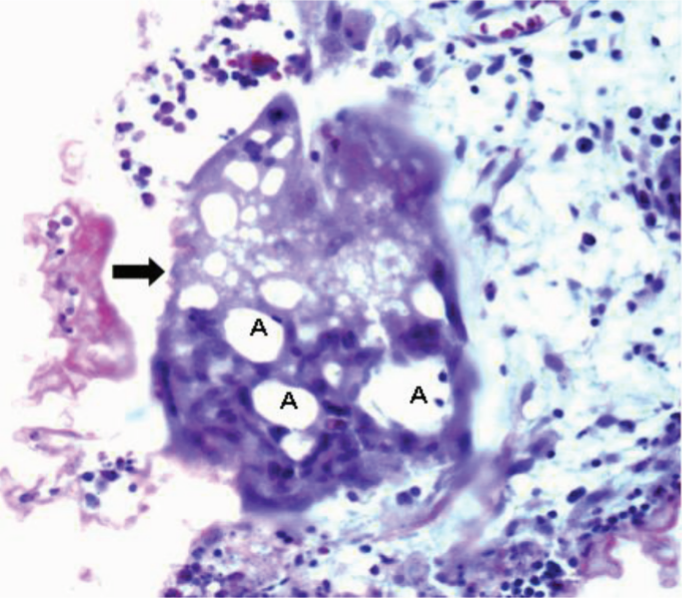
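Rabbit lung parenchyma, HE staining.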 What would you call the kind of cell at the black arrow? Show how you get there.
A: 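Multinucleated giant cell. A very large purple cell much bigger than the surrounding cells. Several nuclei within one cell body. Abundant cytoplasm filled with clear spaces.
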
